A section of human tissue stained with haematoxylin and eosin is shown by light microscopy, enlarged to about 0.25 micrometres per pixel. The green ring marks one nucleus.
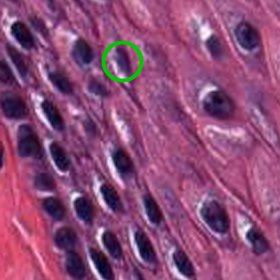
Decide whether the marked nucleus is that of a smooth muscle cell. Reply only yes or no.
no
